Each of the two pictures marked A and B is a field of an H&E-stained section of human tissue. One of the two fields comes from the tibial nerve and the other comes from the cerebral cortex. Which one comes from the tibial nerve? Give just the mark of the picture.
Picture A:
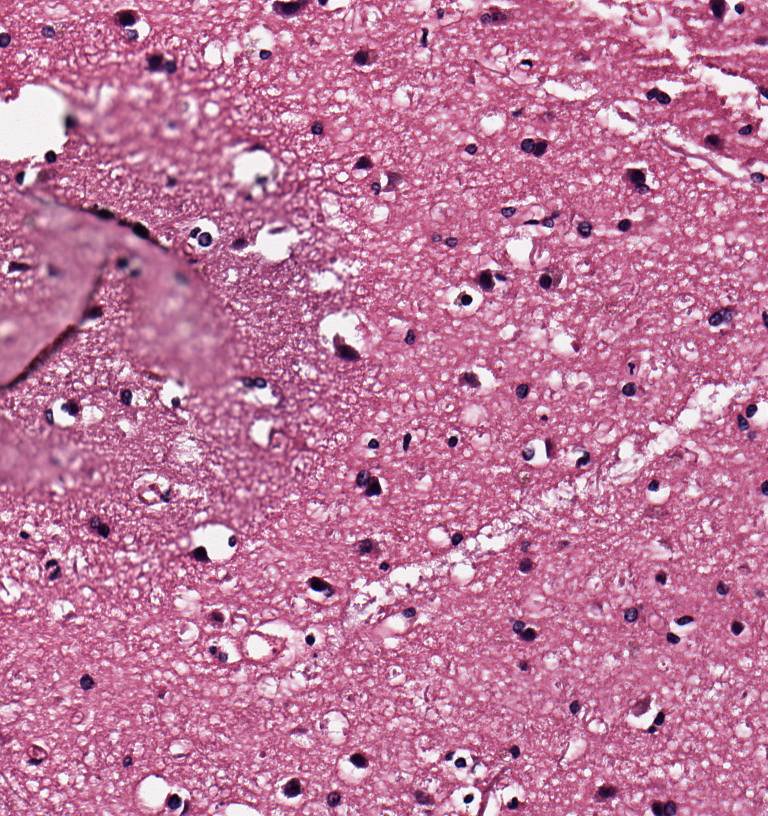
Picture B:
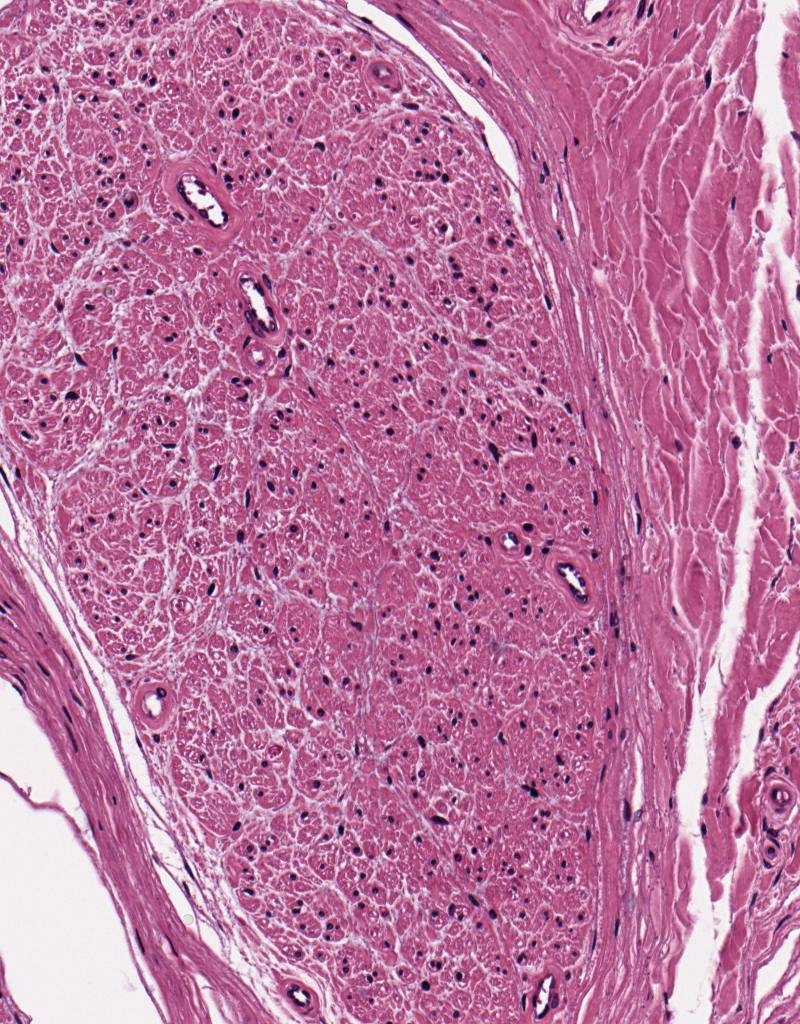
B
